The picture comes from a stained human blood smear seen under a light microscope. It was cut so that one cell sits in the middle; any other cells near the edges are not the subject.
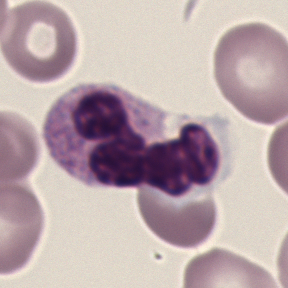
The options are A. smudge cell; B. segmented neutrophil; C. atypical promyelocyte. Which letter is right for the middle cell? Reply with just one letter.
B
